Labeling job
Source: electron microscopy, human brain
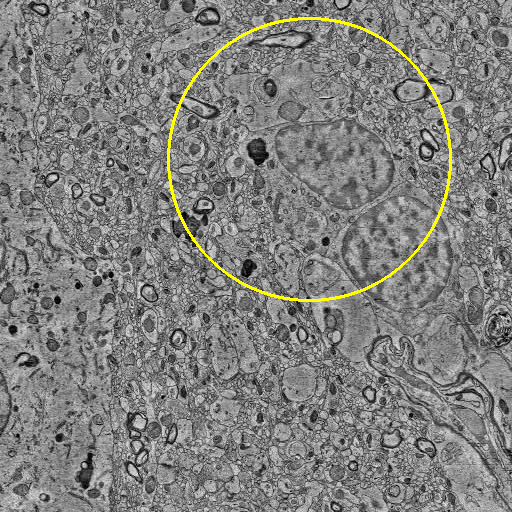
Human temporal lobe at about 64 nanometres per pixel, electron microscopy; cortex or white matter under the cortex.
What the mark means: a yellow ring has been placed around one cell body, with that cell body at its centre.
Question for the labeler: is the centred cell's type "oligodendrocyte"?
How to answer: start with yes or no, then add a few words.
Yes, that is its type.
